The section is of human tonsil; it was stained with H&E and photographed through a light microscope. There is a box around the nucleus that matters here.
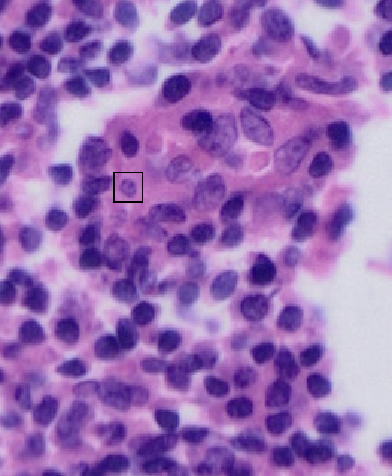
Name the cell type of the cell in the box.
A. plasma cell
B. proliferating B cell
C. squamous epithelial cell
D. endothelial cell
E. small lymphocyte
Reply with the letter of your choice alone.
D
